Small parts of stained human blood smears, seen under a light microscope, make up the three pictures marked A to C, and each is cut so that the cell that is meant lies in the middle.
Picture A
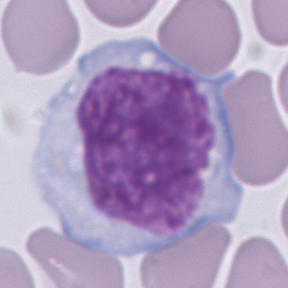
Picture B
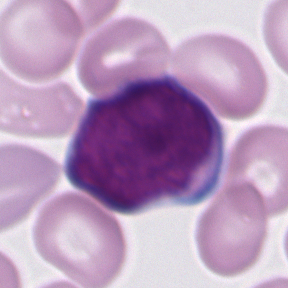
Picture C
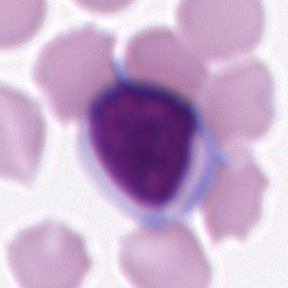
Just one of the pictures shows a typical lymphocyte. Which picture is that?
C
